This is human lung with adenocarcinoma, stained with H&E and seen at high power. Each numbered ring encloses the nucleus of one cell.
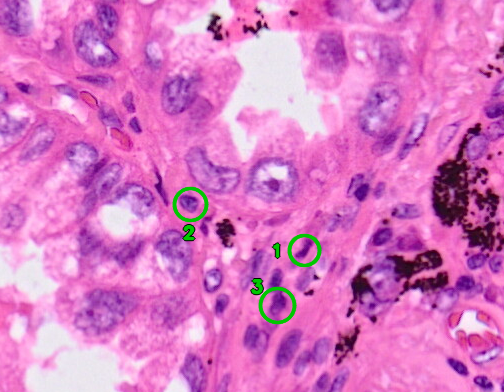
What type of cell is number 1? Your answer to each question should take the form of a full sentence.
The cell to which the number 1 is assigned is a plasma cell.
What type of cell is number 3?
The one numbered 3 among the marked cells is a plasma cell.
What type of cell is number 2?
The cell identified by number 2 is a lymphocyte.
